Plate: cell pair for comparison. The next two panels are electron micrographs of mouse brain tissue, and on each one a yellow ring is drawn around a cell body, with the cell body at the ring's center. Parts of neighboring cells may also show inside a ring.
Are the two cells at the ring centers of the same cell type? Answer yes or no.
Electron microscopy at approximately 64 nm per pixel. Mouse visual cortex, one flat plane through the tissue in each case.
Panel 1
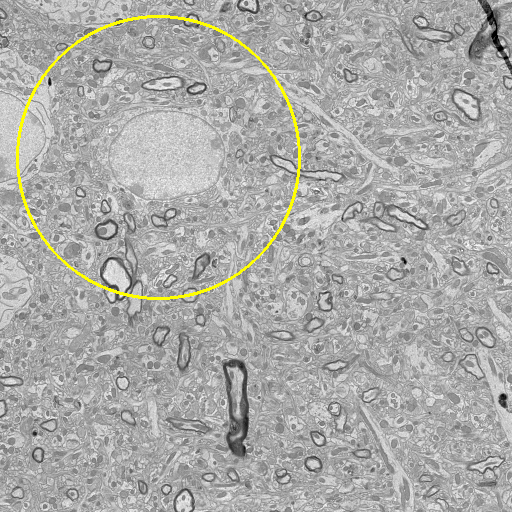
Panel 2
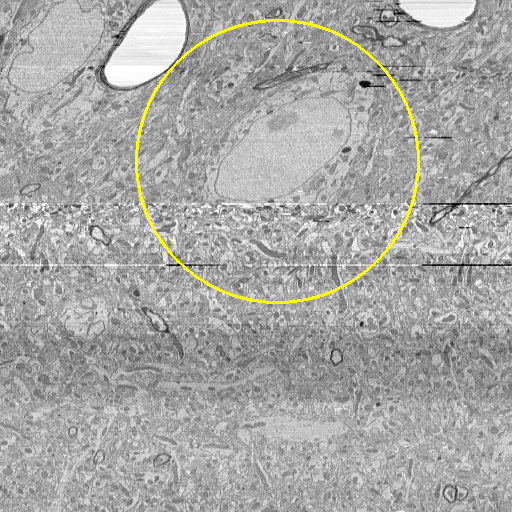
no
